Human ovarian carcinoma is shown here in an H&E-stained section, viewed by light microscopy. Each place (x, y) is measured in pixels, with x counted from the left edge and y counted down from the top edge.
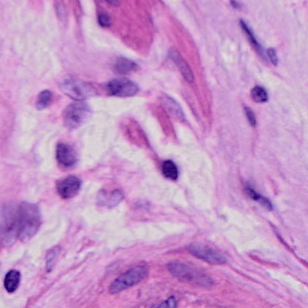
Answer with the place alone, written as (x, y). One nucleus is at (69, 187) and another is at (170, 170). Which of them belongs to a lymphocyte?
(170, 170)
